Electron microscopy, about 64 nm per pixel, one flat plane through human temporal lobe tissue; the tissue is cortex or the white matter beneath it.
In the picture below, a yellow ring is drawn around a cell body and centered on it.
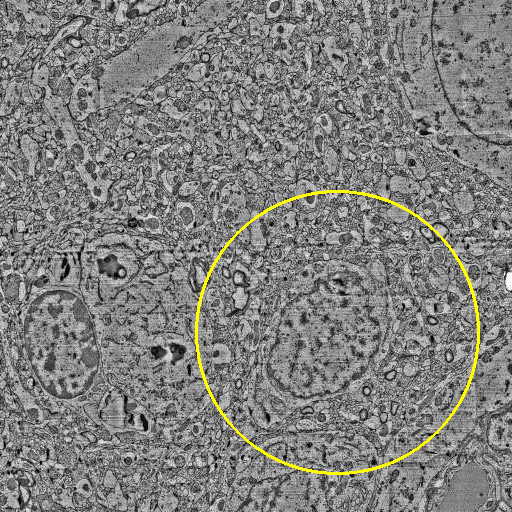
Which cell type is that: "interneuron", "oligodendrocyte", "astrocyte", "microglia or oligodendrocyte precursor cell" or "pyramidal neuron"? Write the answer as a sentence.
The cell centered in the ring is an interneuron.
